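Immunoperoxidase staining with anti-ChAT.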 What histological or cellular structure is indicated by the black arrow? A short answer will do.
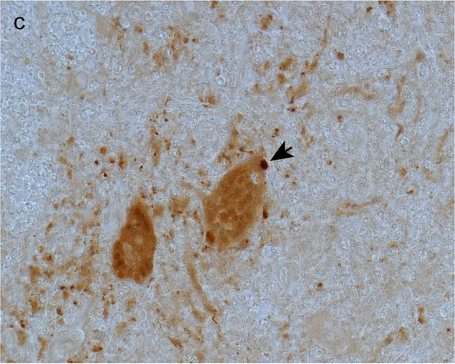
Synapses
